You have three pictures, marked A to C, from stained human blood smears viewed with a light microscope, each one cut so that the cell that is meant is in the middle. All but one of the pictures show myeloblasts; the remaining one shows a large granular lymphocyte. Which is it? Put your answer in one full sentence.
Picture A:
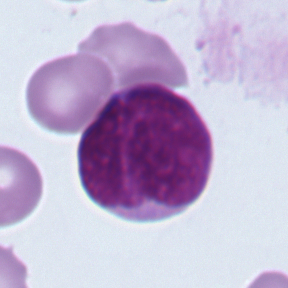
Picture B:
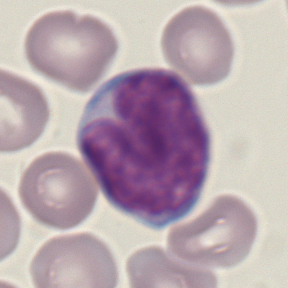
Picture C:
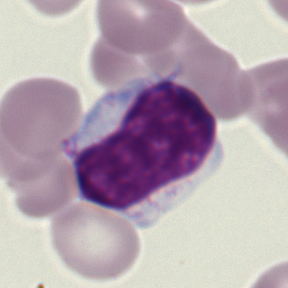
The large granular lymphocyte is the one in picture C.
